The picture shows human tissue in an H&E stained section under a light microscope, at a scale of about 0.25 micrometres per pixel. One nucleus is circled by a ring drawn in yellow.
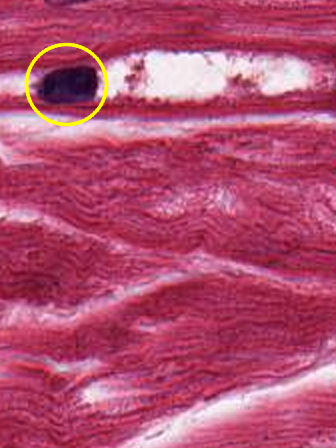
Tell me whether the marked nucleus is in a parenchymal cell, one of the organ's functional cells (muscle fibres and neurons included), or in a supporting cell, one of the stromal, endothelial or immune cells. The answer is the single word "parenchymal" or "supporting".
parenchymal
